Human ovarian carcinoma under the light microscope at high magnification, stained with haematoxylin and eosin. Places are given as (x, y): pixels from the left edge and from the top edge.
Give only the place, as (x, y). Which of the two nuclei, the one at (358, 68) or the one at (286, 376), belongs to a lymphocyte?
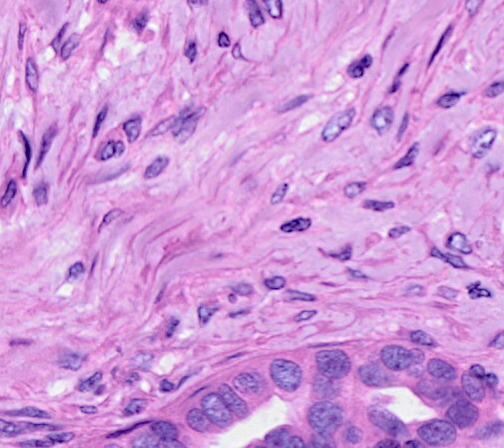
(358, 68)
